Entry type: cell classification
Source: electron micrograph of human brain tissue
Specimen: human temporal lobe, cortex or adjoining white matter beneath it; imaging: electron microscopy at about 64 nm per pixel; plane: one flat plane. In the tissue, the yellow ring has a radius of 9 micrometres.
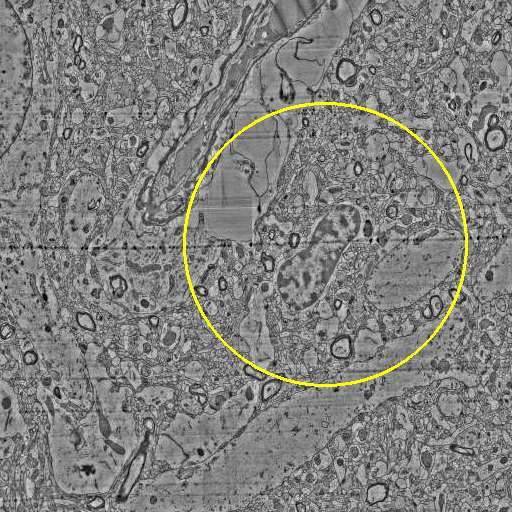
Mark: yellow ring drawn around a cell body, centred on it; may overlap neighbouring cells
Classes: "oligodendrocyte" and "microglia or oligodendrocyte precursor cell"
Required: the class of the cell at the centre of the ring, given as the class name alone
microglia or oligodendrocyte precursor cell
